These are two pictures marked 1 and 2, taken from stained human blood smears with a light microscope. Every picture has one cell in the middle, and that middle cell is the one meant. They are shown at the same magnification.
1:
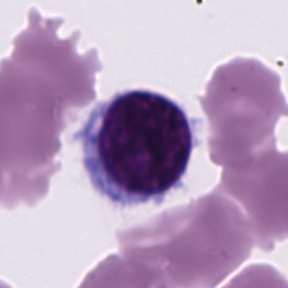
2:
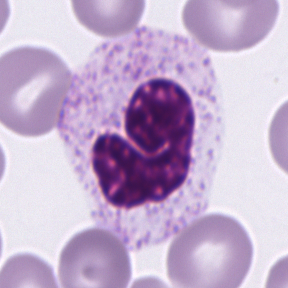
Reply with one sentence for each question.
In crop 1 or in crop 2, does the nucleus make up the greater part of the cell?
In crop 1 the nucleus takes up the larger part of its cell.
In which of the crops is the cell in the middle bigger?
Crop 2 holds the larger cell; it covers about 2.5 times the area of the cell in crop 1.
